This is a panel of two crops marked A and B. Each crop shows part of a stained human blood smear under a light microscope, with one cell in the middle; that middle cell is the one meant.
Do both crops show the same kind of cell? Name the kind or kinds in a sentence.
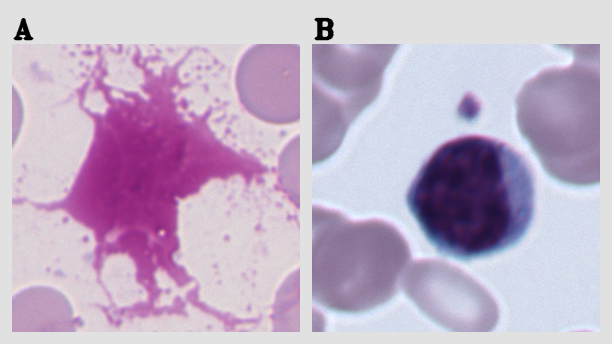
No, sorry, crop A shows a smudge cell and crop B shows a typical lymphocyte.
